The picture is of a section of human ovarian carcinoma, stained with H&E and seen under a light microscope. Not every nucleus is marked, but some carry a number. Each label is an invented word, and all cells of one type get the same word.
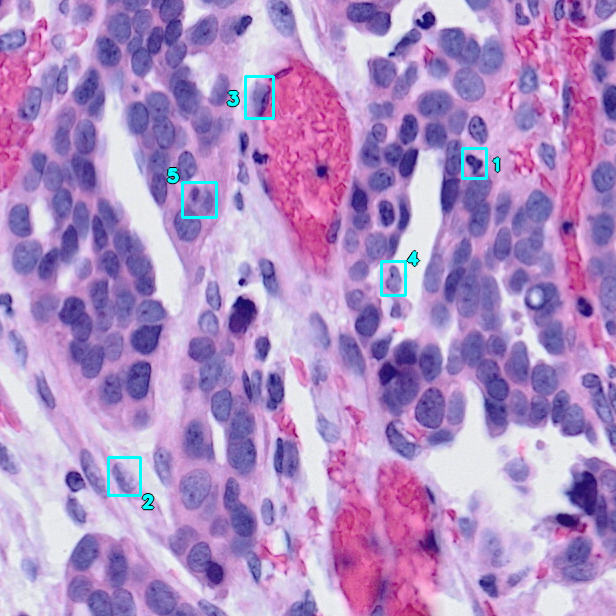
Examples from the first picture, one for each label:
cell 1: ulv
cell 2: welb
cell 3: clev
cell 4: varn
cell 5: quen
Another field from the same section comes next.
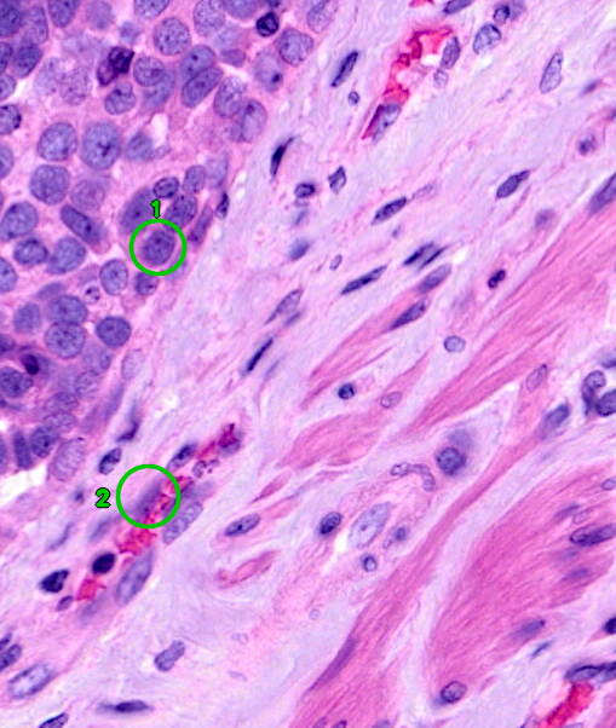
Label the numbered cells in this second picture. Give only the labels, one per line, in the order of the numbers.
quen
clev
